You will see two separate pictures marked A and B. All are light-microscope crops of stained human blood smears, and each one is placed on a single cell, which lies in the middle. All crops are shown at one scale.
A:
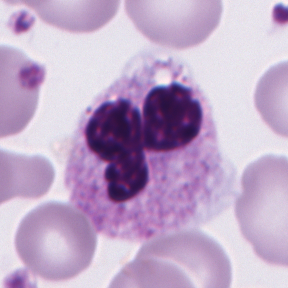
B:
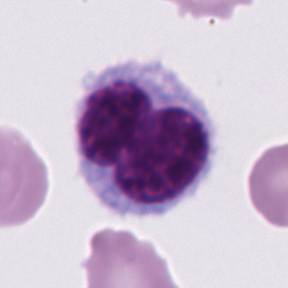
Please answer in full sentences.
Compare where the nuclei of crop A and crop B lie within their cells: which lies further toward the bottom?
It is the nucleus in crop B that lies further toward the bottom of its cell.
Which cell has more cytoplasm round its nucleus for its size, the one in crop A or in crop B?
In crop A the nucleus takes up the smaller part of its cell.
